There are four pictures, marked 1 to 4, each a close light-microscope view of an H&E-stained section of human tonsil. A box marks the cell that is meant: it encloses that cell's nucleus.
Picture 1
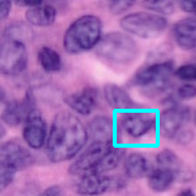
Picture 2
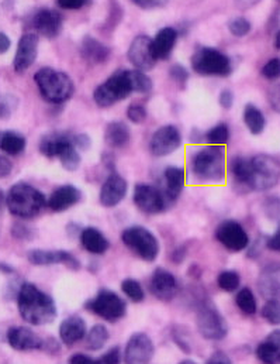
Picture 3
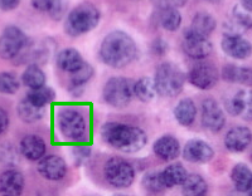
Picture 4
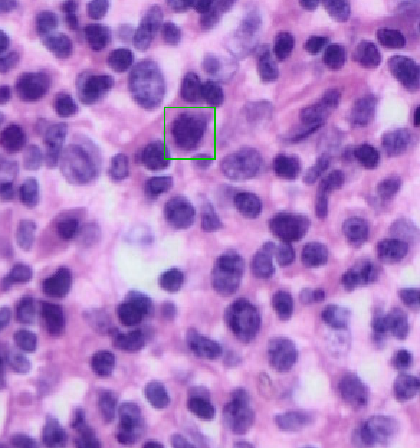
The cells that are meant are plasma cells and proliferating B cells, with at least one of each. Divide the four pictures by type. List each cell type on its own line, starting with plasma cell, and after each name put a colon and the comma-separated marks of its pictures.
plasma cell: 3
proliferating B cell: 1, 2, 4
